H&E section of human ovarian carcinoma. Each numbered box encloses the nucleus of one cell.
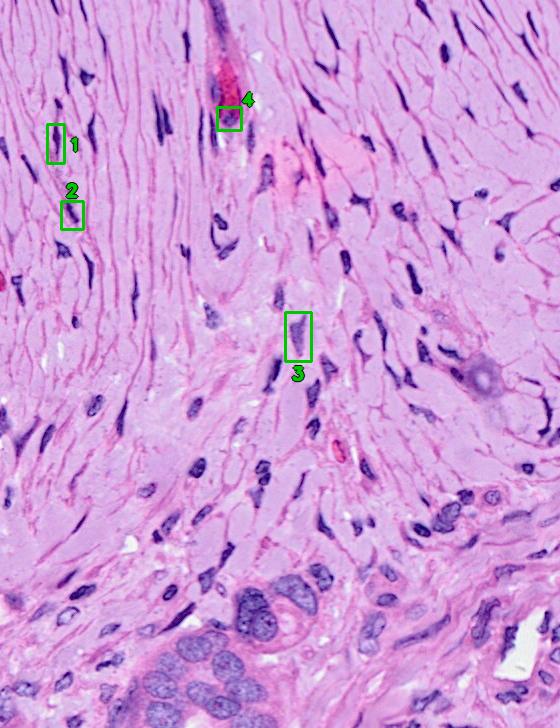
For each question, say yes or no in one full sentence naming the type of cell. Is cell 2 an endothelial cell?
No, number 2 marks a fibroblast rather than an endothelial cell.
